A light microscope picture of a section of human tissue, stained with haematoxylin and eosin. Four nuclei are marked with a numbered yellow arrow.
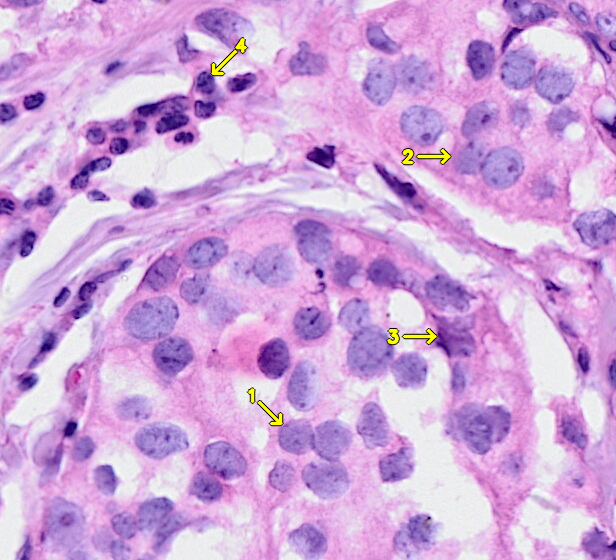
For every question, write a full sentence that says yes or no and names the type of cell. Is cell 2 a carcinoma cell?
Yes, the cell carrying label 2 is a carcinoma cell.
